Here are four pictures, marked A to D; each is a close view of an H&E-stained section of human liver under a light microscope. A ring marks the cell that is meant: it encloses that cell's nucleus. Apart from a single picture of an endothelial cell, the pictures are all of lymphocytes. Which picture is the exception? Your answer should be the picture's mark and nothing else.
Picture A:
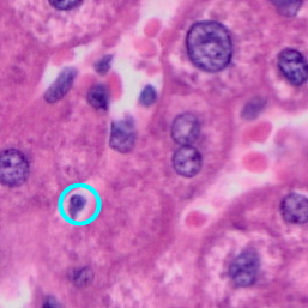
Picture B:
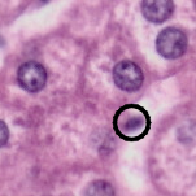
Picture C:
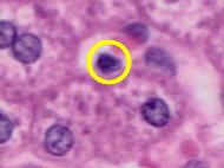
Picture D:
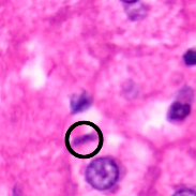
D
